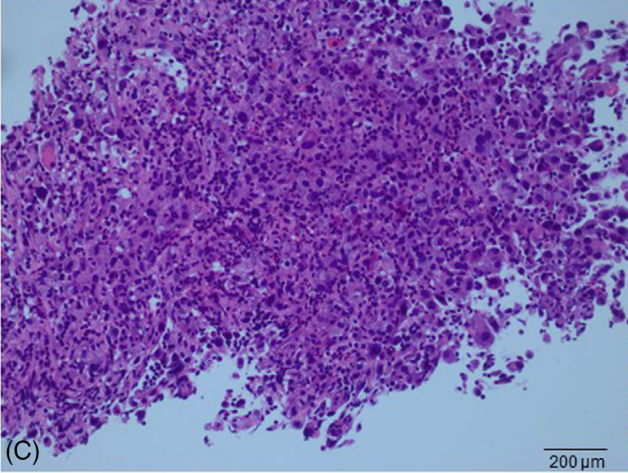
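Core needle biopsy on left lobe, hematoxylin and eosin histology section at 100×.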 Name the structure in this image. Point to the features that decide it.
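Cells form a continuous sheet across the fragment. No glands or lumens are formed. On this evidence: solid growth.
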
